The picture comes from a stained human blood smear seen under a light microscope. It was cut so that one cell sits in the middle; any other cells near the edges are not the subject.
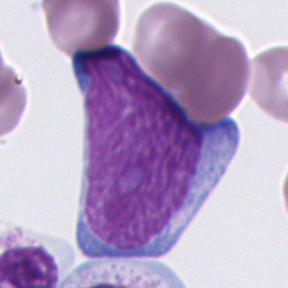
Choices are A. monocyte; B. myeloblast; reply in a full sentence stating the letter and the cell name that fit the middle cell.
The cell right in the middle is a myeloblast, so option B is the one.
